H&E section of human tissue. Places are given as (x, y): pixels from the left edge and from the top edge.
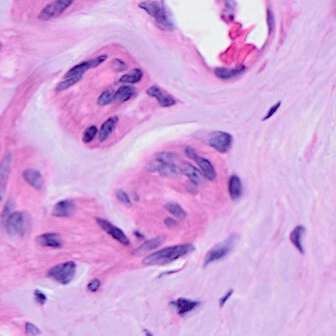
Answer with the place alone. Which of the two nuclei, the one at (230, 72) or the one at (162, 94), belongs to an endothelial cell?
(230, 72)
